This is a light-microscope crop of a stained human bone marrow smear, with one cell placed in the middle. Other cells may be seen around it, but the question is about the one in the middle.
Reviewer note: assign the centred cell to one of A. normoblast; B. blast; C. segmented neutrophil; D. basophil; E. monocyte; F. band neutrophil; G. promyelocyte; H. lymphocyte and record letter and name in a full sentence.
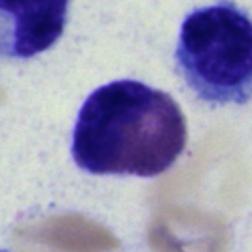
Correctly, option D names the cell in the middle a basophil.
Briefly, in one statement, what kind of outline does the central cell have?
If you check the edge, you will find it smooth without projections.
